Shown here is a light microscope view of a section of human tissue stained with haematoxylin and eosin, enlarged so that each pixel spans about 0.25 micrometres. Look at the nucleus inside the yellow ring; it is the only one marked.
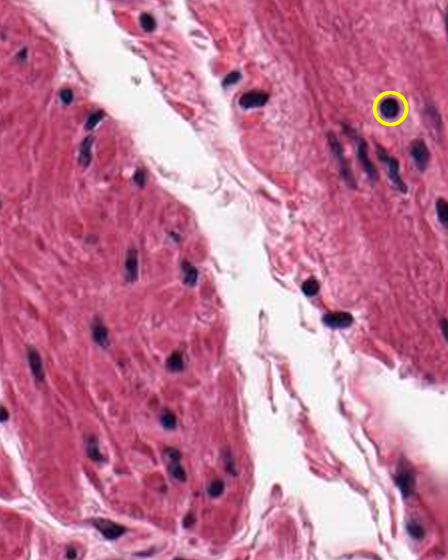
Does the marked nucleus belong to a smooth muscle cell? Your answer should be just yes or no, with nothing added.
no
